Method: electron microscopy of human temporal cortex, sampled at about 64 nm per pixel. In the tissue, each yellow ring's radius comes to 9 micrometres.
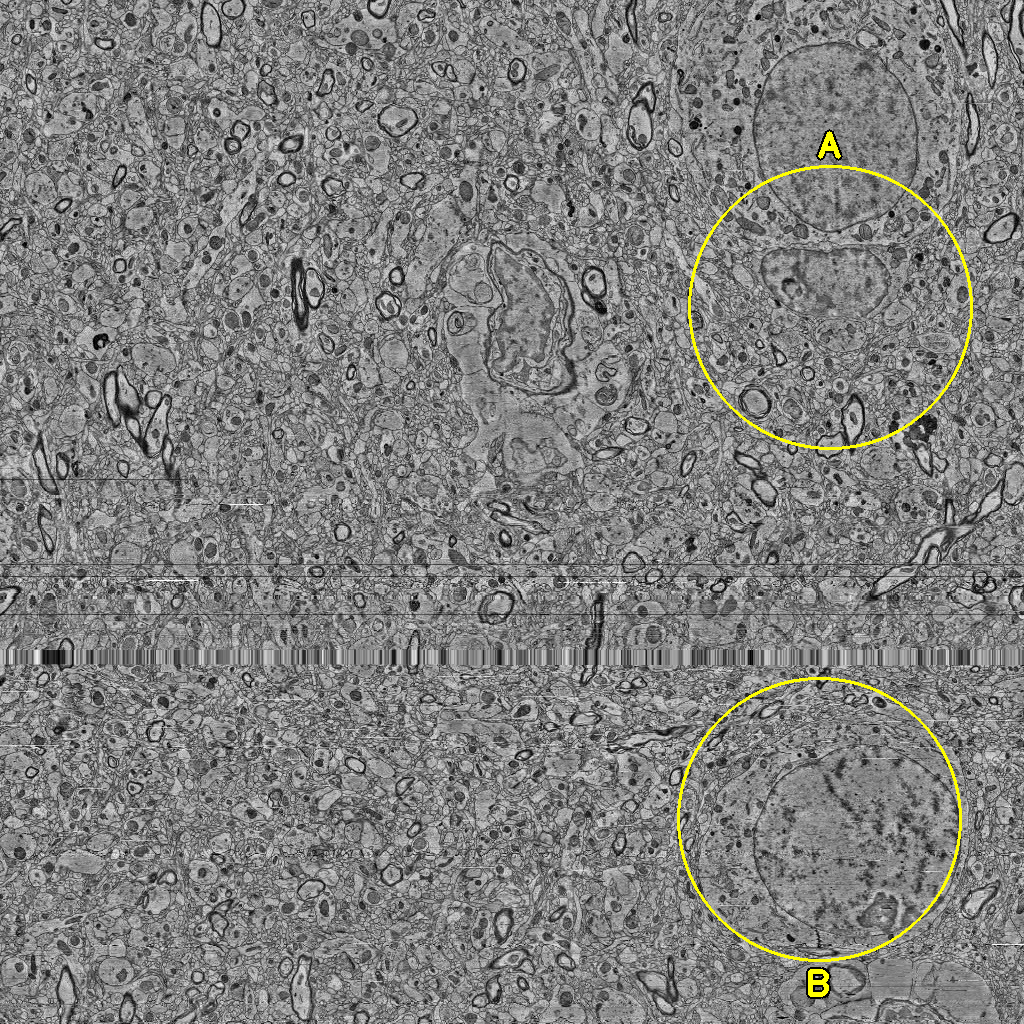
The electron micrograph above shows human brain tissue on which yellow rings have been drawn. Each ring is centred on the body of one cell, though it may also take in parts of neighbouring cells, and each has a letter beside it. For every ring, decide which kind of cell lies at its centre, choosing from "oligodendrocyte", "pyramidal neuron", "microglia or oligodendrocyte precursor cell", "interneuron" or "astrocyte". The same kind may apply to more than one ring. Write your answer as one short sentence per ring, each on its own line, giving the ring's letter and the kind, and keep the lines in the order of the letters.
Ring A is centred on an oligodendrocyte.
Ring B is centred on a pyramidal neuron.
